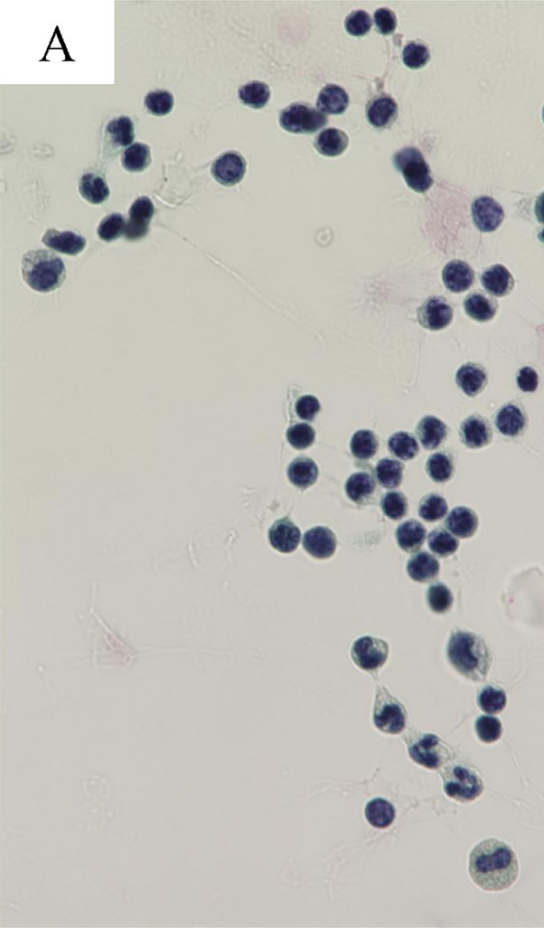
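This fluid sample is dominated by lymphocytes: small round cells with a dark, round, densely stained nucleus and only a thin rim of cytoplasm. Scattered among them are a few larger cells with paler, more ample cytoplasm and less compact nuclei, and wispy strands of material run across the background.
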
